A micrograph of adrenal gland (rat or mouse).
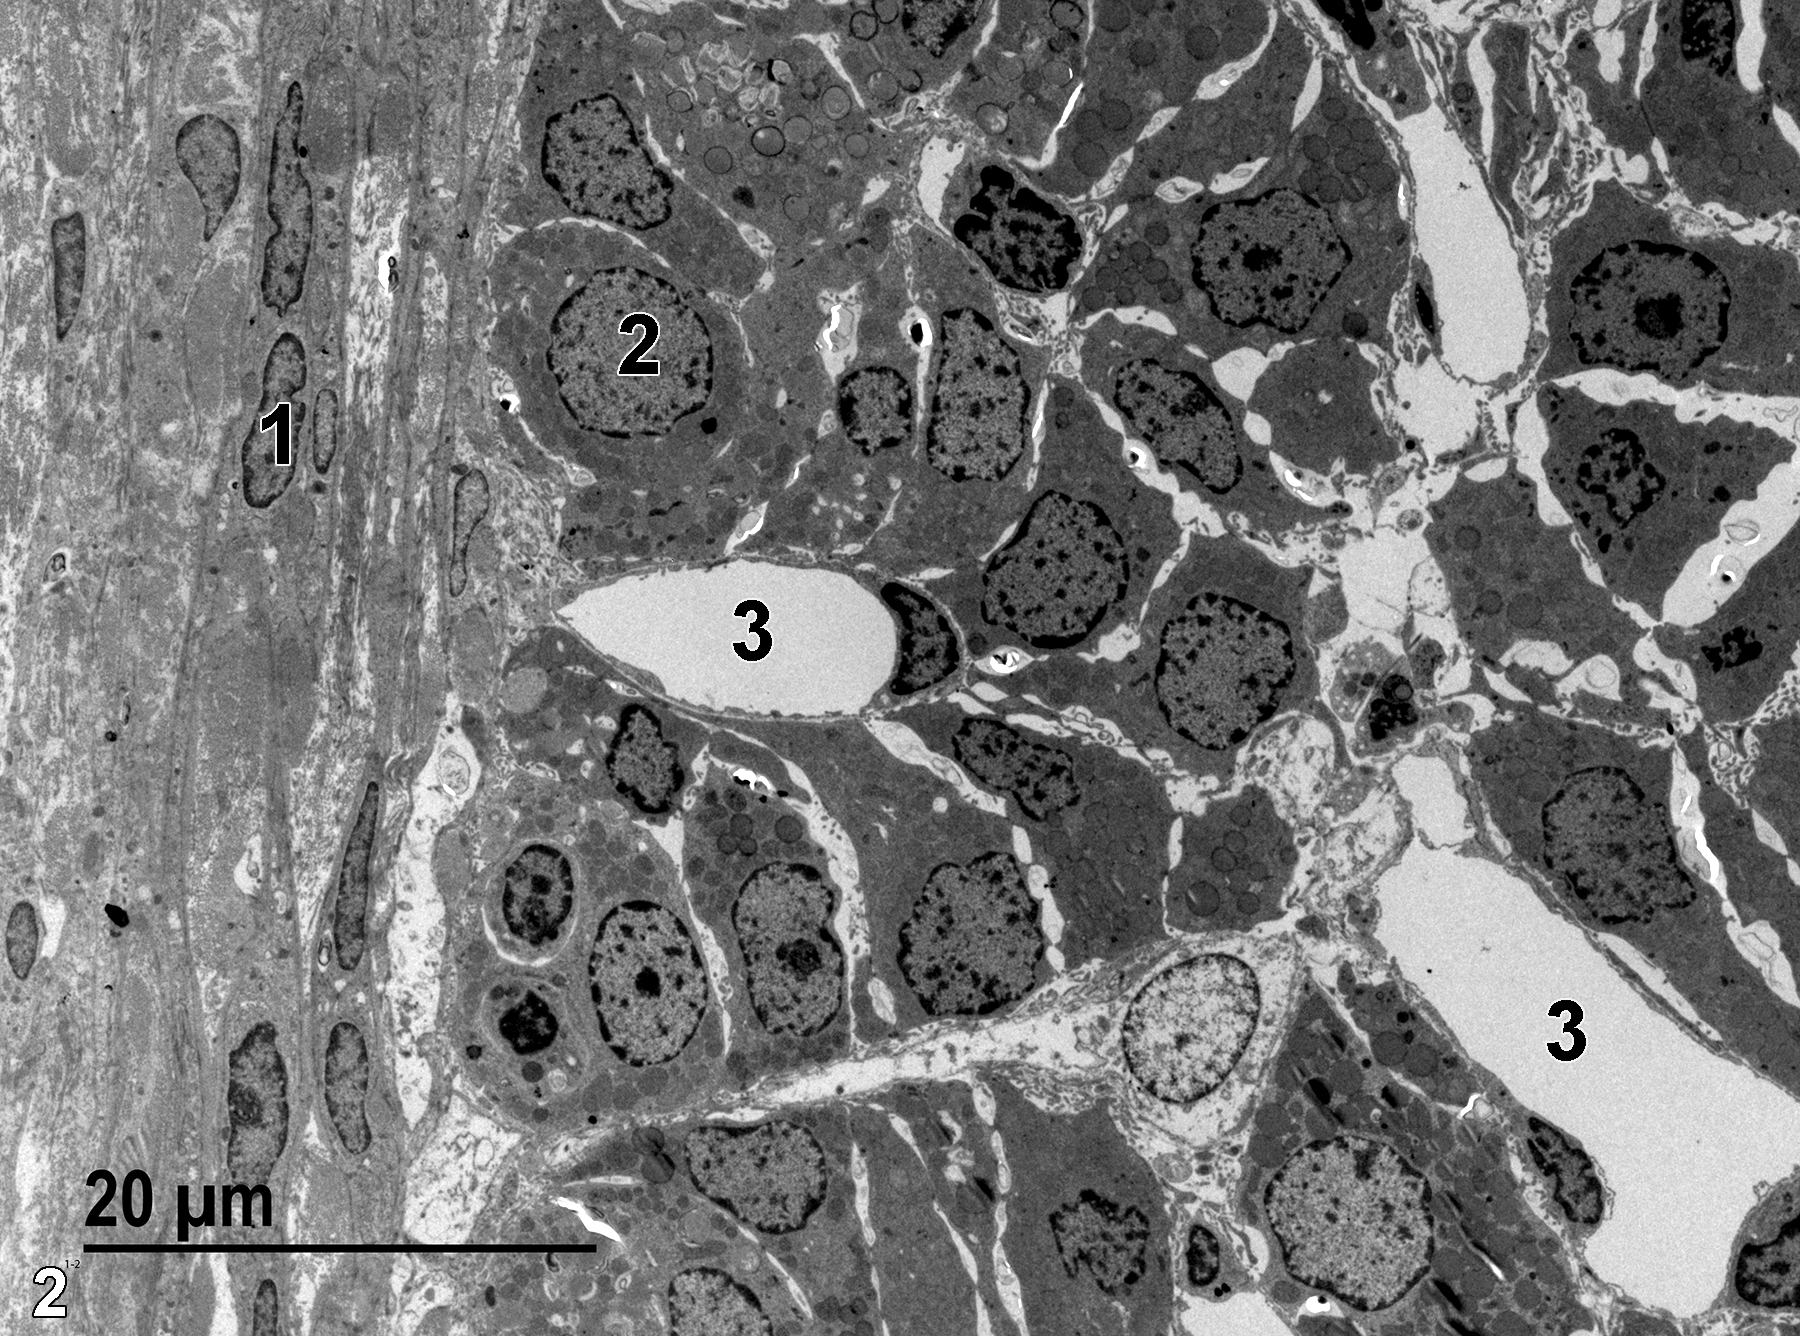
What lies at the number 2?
The number 2 marks the nucleus of a zona glomerulosa epithelial cell.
